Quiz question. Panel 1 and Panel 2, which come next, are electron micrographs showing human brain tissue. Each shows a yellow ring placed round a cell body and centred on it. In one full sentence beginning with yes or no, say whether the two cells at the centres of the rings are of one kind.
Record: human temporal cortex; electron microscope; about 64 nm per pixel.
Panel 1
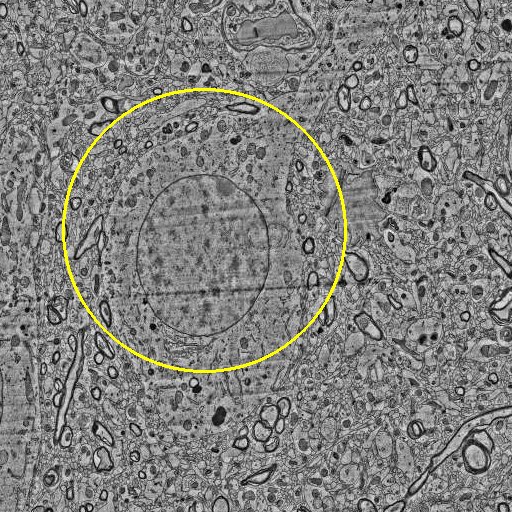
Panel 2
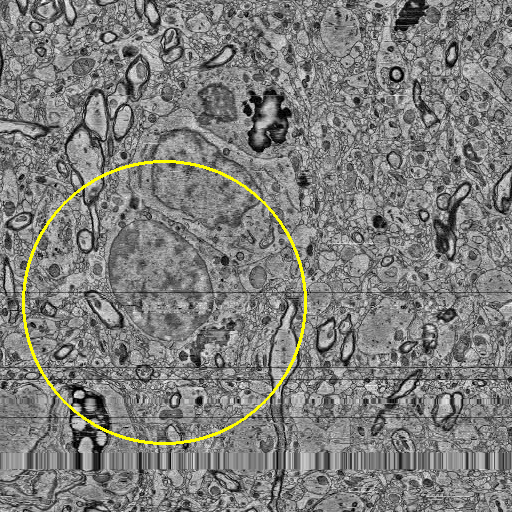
No, Panel 1 and Panel 2 show two kinds of cell at the centre of the ring.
